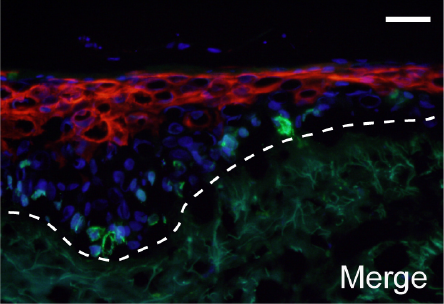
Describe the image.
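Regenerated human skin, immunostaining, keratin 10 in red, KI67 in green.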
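The upper layers form a broad red band of large, flattened, polygonal cells, while the lower layers are crowded with blue nuclei. Beneath the line the dermis appears as a loose, greenish fibrous meshwork with few nuclei.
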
